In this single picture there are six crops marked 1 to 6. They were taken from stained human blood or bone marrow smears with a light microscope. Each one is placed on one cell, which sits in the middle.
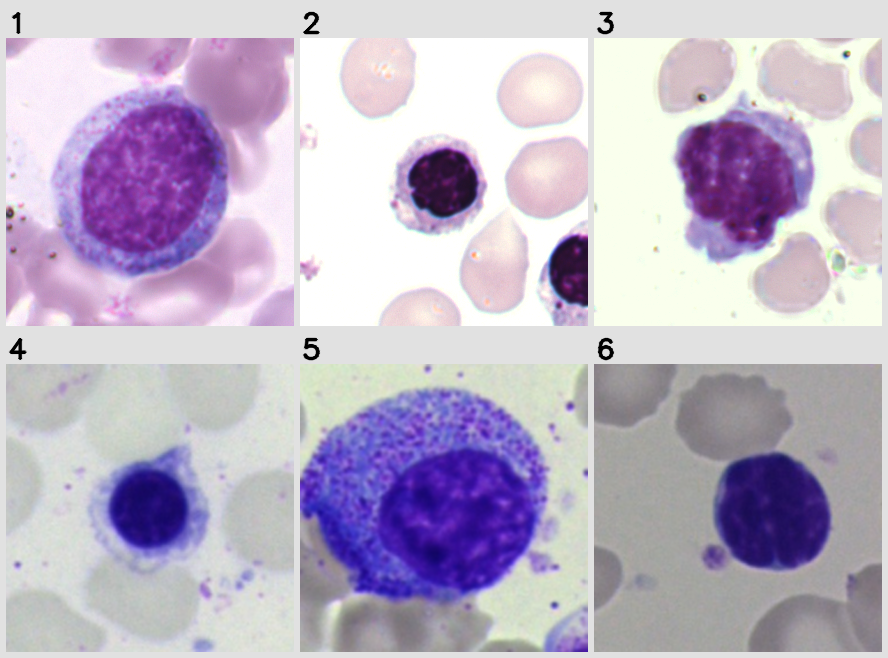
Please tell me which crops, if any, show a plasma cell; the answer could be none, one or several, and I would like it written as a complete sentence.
The single instance of a plasma cell among the crops is in crop 3.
